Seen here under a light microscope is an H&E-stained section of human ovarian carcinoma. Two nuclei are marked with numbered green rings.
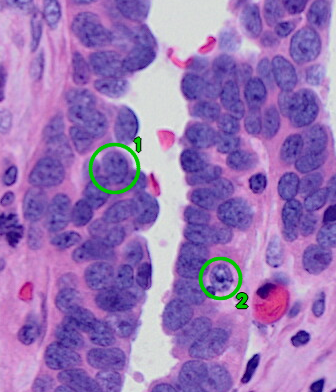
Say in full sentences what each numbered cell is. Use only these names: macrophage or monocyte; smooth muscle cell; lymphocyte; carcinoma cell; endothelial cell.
Cell 1 is a carcinoma cell and cell 2 is a macrophage or monocyte.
